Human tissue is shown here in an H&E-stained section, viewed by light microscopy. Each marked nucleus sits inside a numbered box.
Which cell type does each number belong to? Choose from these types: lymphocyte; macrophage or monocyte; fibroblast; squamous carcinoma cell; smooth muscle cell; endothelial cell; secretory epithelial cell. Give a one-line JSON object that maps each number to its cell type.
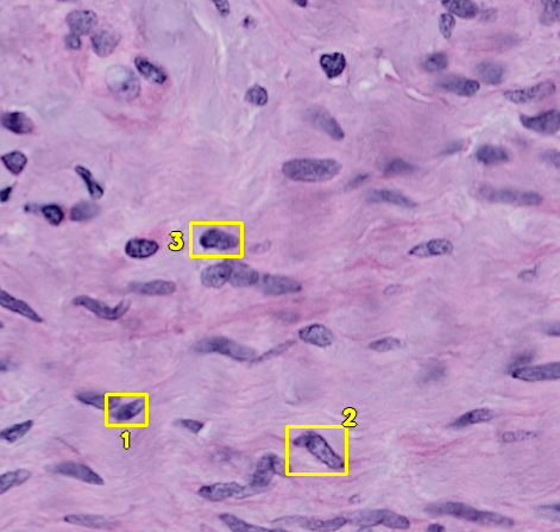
{"1": "fibroblast", "2": "smooth muscle cell", "3": "fibroblast"}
